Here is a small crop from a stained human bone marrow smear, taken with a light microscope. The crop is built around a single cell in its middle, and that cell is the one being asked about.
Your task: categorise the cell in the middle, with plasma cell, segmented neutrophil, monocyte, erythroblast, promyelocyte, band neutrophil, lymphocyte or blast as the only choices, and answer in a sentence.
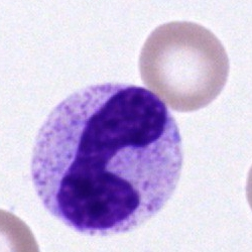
The centered cell in this crop is a band neutrophil.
